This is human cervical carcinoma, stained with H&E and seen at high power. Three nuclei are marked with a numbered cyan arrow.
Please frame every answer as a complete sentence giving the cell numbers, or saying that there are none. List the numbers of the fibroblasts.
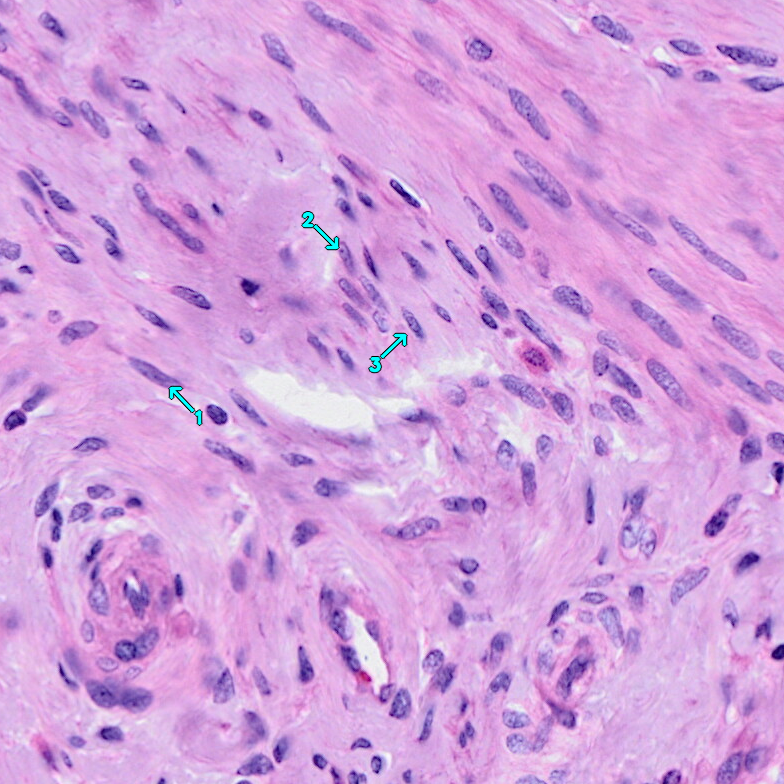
The numbers 1 and 3 mark cells that are fibroblasts.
